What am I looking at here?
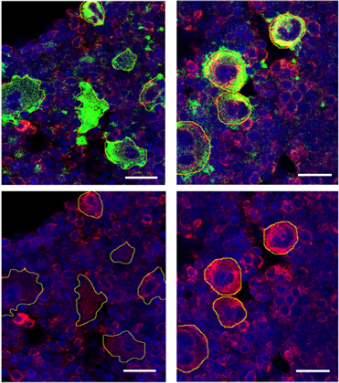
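Bone marrow with scattered megakaryocytes, very large rounded or irregular cells that stand out among densely packed small hematopoietic cells with round blue nuclei. In the upper images the megakaryocytes carry a bright green rim and green cytoplasm; in the lower images, where the same cells are traced in yellow, red granular staining fills their cytoplasm, more strongly in the right-hand cells.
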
